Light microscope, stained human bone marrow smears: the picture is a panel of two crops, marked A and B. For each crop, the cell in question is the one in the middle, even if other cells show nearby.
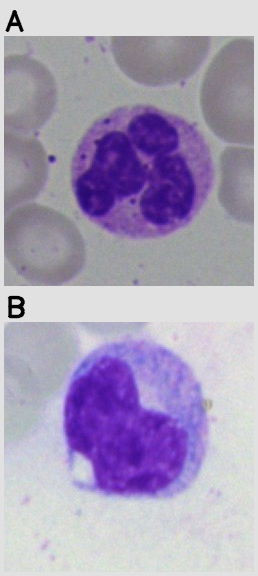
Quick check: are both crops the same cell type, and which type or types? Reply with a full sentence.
No, the assignment should read crop A, a neutrophil; crop B, a monocyte.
